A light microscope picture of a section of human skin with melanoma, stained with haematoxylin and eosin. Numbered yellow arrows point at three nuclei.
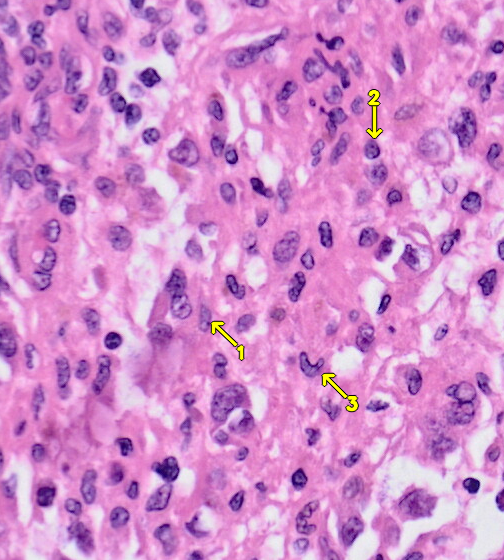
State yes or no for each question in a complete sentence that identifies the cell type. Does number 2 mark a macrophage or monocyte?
No, cell 2 is a lymphocyte; it is not a macrophage or monocyte.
